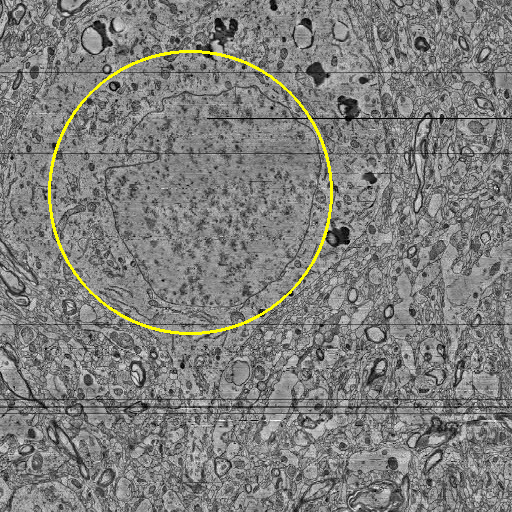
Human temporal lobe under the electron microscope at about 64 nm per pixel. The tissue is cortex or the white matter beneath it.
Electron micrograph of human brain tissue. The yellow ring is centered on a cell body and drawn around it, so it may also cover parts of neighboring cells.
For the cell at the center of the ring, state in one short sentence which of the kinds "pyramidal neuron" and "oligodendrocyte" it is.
This ring is centered on a pyramidal neuron.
